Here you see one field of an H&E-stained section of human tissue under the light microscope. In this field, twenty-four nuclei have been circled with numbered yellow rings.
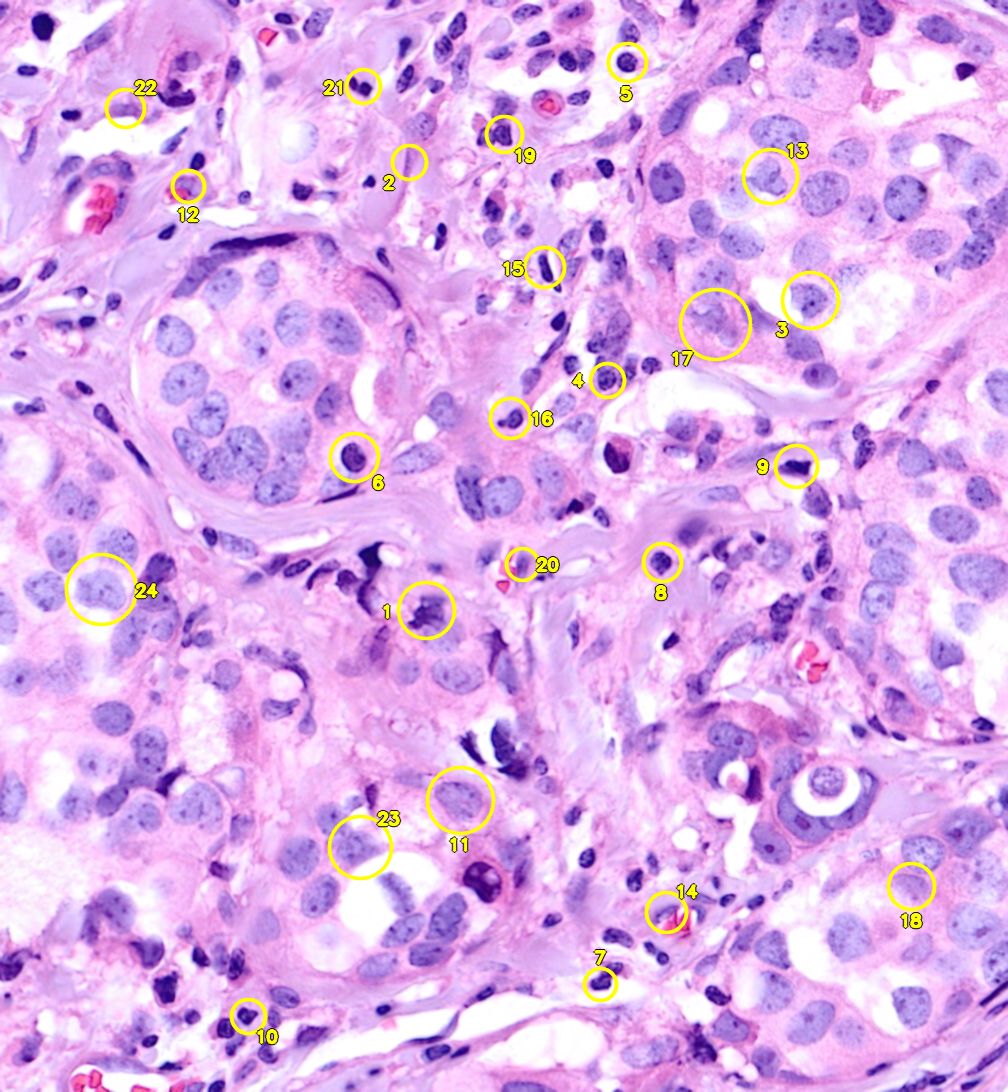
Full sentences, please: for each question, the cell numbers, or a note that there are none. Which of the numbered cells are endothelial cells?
On this slide, the cells numbered 12, 14 and 20 are endothelial cells.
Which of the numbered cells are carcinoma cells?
The cells marked 1, 3, 6, 11, 13, 17, 18, 23 and 24 in the section are carcinoma cells.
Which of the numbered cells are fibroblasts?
The numbers 2 and 22 refer to cells that are fibroblasts.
